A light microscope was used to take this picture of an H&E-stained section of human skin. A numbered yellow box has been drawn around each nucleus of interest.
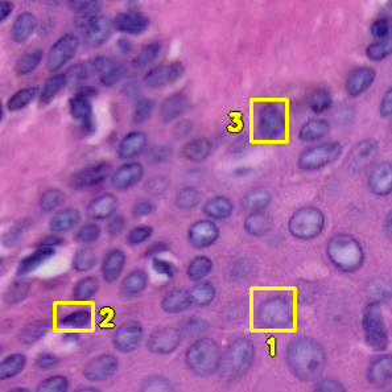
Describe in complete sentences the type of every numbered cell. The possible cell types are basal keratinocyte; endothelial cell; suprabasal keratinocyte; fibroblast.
Cell 1 is a suprabasal keratinocyte, cell 2 is a basal keratinocyte and cell 3 is a basal keratinocyte.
